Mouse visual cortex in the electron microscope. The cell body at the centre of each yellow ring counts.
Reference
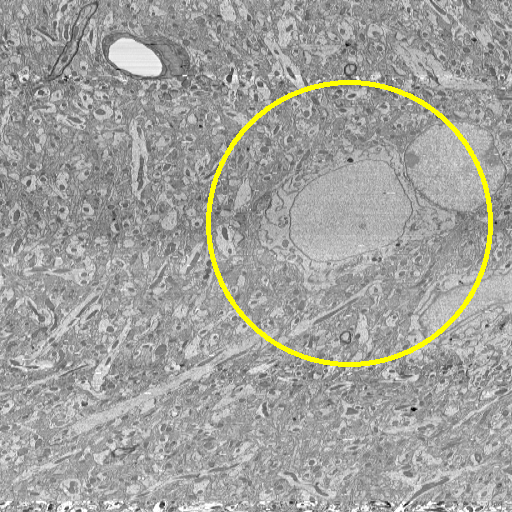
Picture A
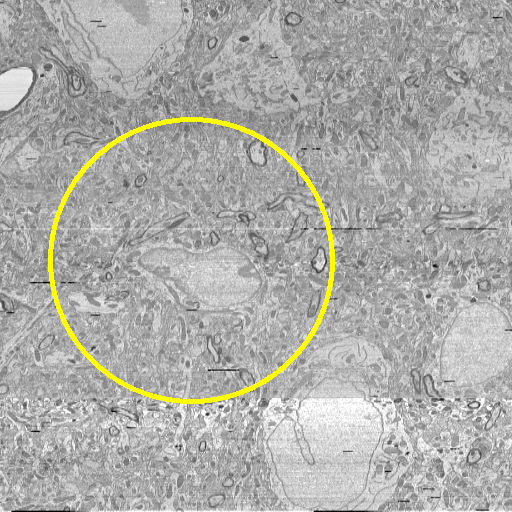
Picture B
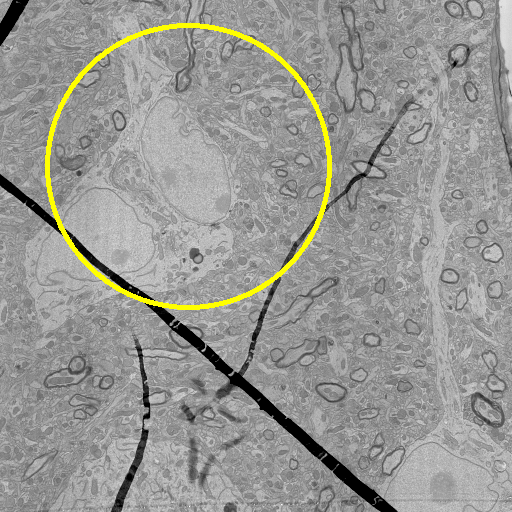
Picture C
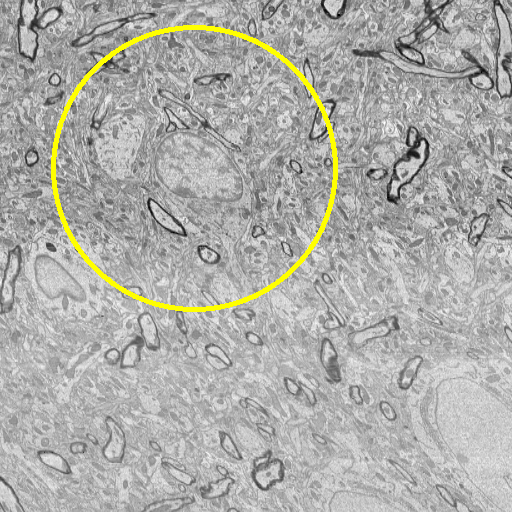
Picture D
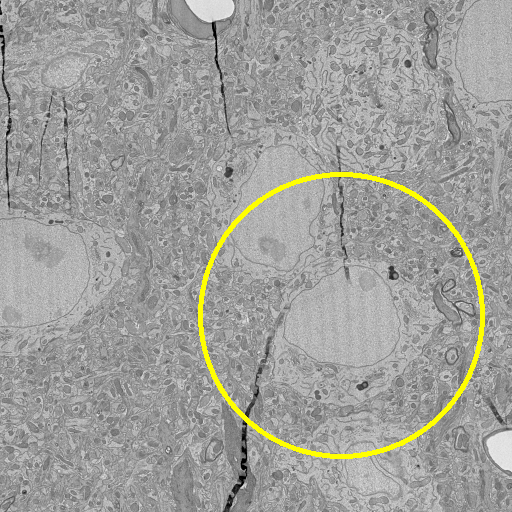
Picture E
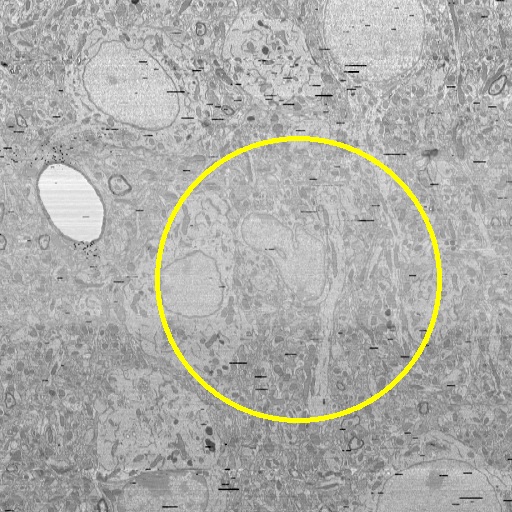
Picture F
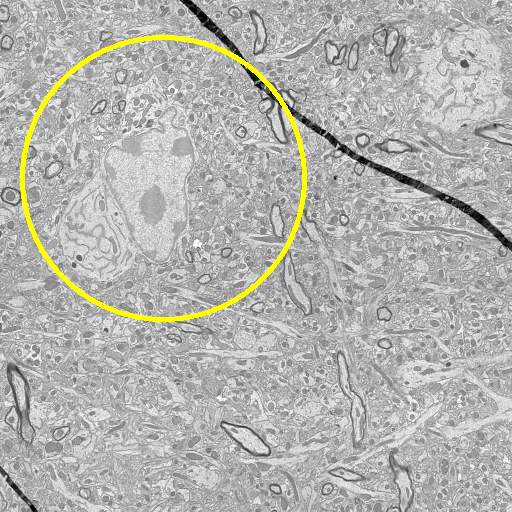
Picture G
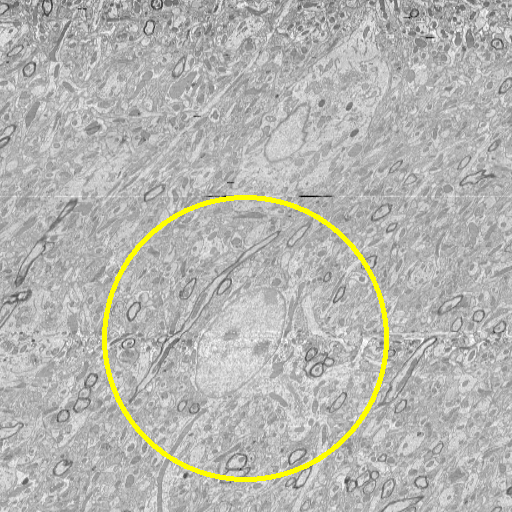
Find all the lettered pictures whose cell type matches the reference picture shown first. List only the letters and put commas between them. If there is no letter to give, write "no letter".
D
